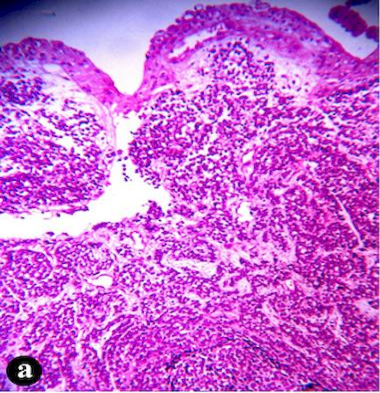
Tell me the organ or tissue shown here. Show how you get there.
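Normal intact urothelium. A multilayered epithelium lines the top surface of the section. The epithelial layer is continuous, without breaks. Densely cellular tissue lies beneath the surface epithelium.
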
